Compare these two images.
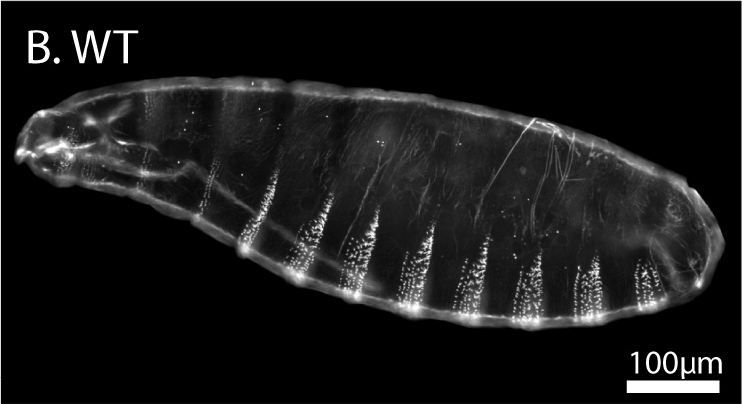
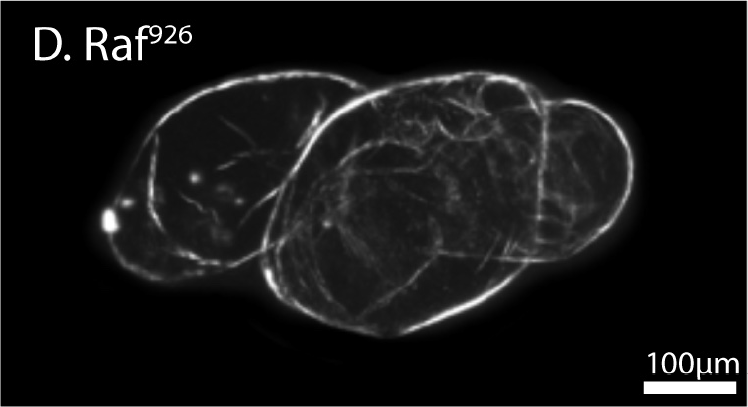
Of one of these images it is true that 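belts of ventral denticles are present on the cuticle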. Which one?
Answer: The first image.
